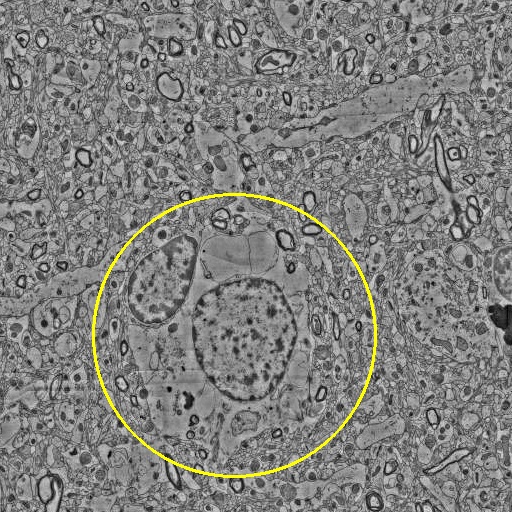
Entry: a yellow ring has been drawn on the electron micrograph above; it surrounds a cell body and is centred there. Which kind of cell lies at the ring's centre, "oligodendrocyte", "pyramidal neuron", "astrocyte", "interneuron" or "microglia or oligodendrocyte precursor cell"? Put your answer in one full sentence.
The cell sitting at the ring's centre is an astrocyte in the micrograph above.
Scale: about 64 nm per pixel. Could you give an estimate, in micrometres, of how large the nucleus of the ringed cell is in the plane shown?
The ringed cell's nucleus measures approximately 8 by 7 micrometres in this plane.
